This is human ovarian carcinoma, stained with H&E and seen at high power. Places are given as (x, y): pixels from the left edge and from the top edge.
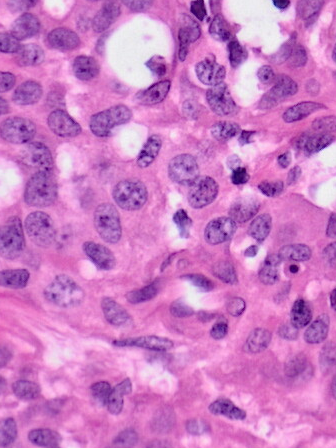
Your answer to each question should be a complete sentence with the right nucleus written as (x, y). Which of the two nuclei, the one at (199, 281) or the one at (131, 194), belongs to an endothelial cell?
The nucleus contained in an endothelial cell is the one at (199, 281).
